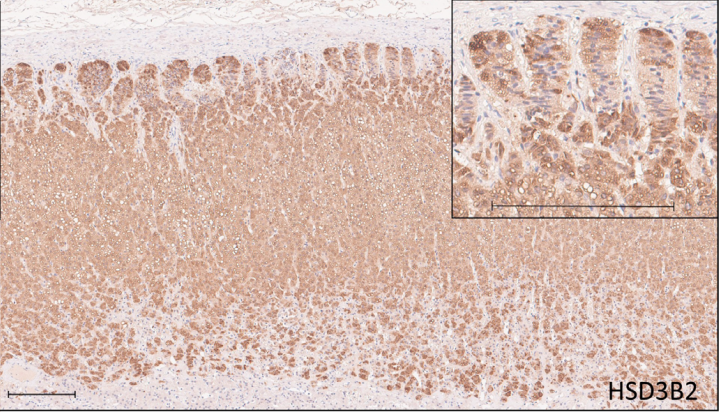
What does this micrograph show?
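This section of adrenal cortex shows brown cytoplasmic staining throughout all cortical layers beneath a pale fibrous capsule. Just under the capsule, cortical cells form arched, finger-like clusters separated by thin pale connective tissue strands, and these clusters stain strongly brown. The innermost cortex contains more irregularly arranged, intensely stained cells at the bottom of the field.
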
